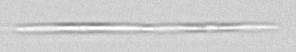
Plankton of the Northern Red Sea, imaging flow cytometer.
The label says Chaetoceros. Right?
Wrong: this is Pseudo-nitzschia.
